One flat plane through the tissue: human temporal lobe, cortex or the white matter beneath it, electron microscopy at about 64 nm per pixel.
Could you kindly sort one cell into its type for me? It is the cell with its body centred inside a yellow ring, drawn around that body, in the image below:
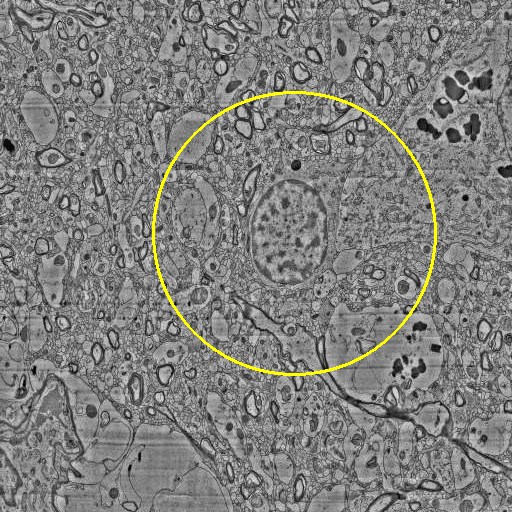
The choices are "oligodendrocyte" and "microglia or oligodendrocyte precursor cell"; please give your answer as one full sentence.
The cell whose body lies centred in the yellow ring here is an oligodendrocyte.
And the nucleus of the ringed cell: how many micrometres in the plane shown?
About 7 by 5 micrometres in this plane.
